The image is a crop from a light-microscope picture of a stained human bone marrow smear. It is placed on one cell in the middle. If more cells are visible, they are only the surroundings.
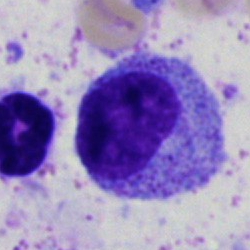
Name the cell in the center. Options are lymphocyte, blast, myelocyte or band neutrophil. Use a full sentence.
As for the cell in the middle, it is a myelocyte.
